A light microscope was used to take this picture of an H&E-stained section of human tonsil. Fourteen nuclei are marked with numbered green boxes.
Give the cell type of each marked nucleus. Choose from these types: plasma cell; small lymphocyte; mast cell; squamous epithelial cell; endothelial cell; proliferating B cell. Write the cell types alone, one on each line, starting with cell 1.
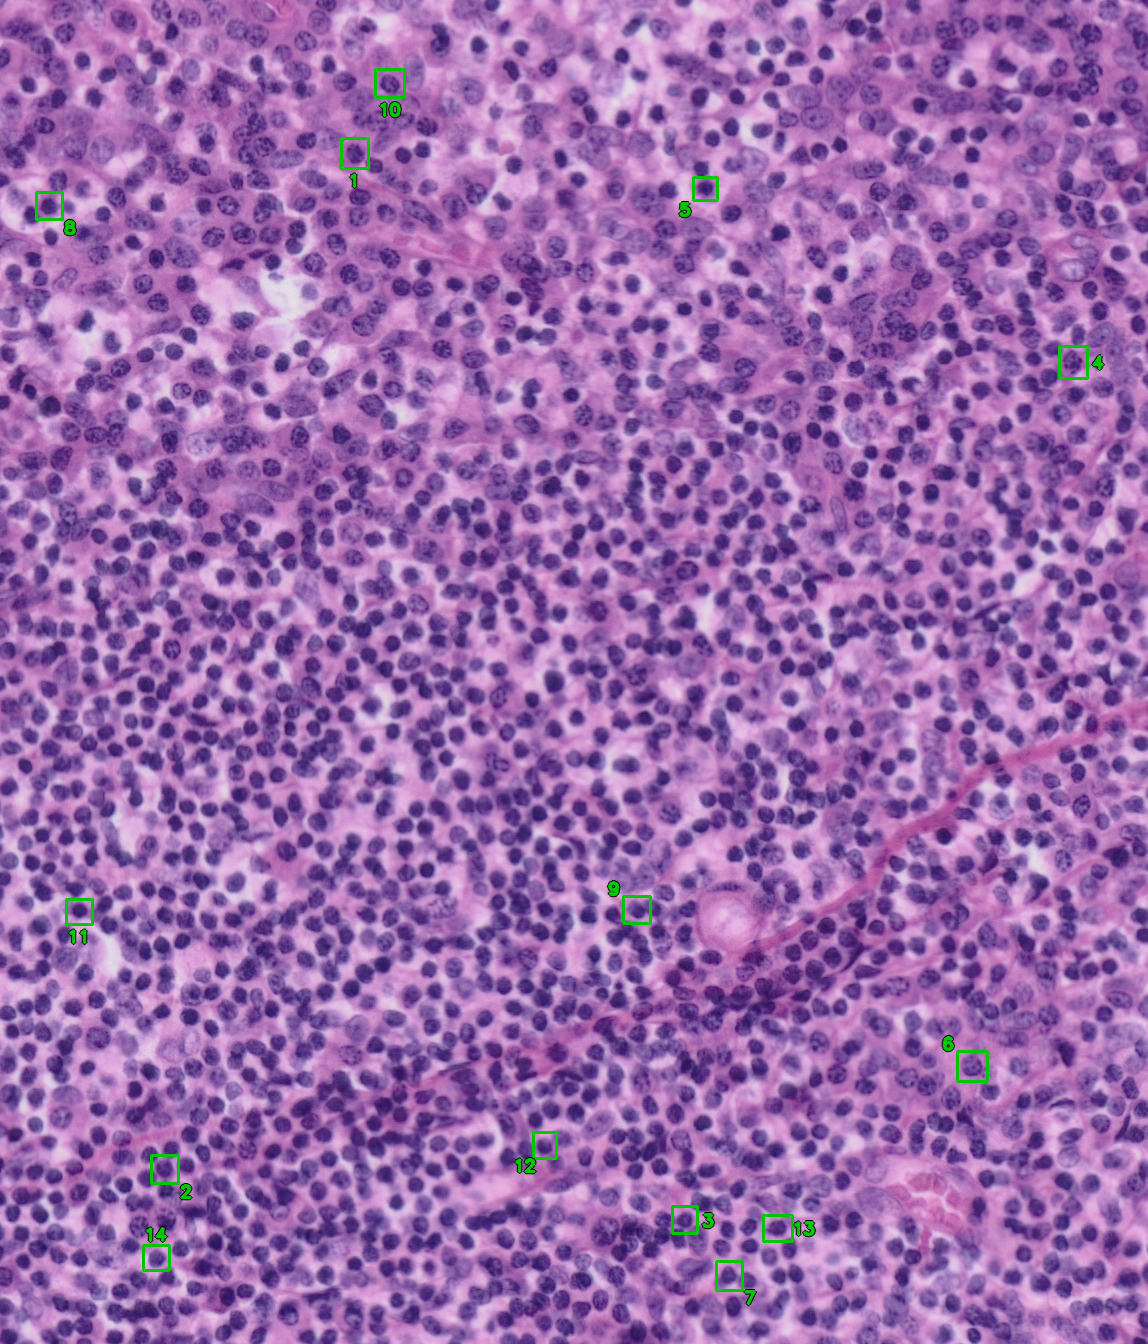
plasma cell
small lymphocyte
small lymphocyte
plasma cell
plasma cell
plasma cell
small lymphocyte
plasma cell
small lymphocyte
plasma cell
small lymphocyte
small lymphocyte
small lymphocyte
small lymphocyte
